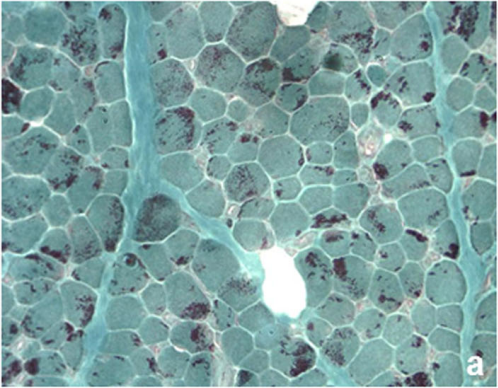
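This is skeletal muscle cut across, with green-blue polygonal muscle fibres many of which hold clusters of dark purple rods. The purple clusters are granular and sit mostly against the edge of the fibres, while some lie deeper inside the fibre. The fibres are closely packed and separated by thin pale outlines. Broad bands of pale green connective tissue run across the field between groups of fibres. A round white empty space lies within one of these bands.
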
